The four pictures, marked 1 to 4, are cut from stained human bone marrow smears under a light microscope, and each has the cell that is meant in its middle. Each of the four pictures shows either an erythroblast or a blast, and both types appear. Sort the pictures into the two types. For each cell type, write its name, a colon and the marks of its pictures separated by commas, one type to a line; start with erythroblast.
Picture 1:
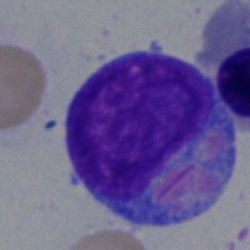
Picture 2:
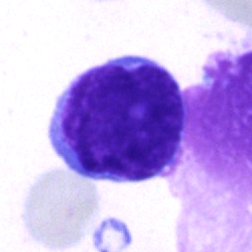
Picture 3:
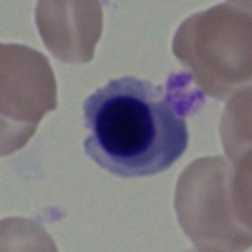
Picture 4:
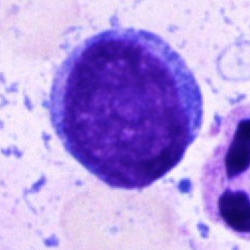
erythroblast: 3
blast: 1, 2, 4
